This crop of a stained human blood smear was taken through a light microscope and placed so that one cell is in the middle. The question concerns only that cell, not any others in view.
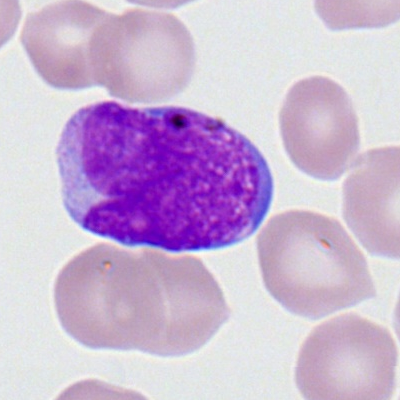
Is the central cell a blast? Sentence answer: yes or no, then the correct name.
Yes, the cell in the center of this crop is a blast.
